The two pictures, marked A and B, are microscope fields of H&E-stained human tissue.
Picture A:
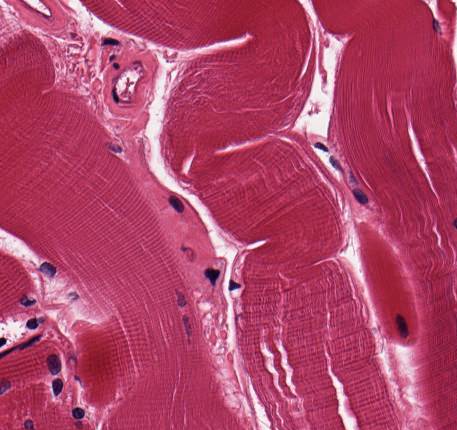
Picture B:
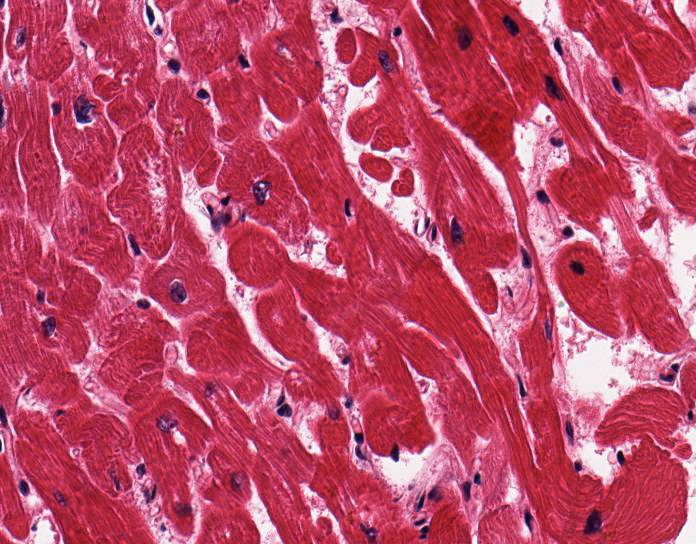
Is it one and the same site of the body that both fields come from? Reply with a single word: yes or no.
no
